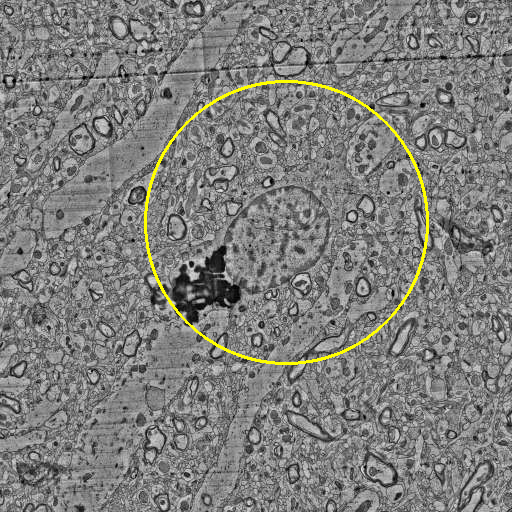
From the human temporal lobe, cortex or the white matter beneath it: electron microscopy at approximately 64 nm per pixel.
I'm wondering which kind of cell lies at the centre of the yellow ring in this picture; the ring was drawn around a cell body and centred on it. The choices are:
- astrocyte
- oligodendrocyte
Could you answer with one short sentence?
At the centre of the ring lies an oligodendrocyte.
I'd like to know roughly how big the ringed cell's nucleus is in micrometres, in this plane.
In this plane the nucleus measures roughly 7 by 6 micrometers.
